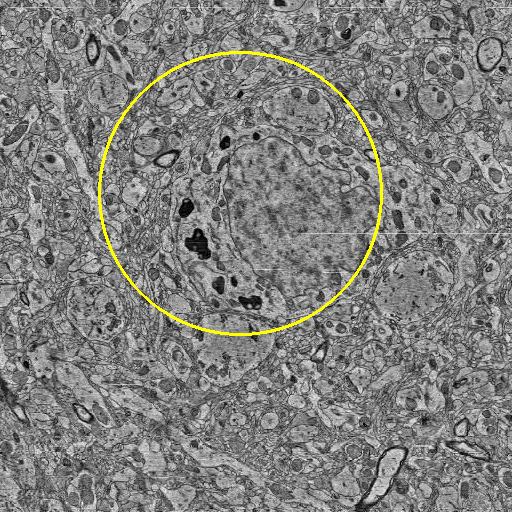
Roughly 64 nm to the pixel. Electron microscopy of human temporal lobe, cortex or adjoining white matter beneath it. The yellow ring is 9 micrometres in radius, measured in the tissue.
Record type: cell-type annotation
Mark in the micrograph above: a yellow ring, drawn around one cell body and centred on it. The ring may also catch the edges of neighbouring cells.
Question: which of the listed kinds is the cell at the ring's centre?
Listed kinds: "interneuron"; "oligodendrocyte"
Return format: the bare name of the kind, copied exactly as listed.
interneuron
